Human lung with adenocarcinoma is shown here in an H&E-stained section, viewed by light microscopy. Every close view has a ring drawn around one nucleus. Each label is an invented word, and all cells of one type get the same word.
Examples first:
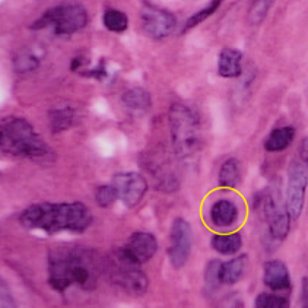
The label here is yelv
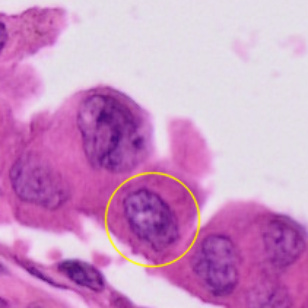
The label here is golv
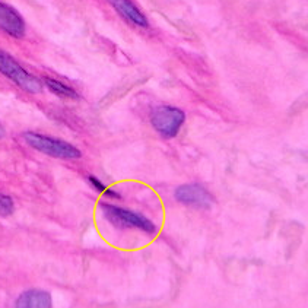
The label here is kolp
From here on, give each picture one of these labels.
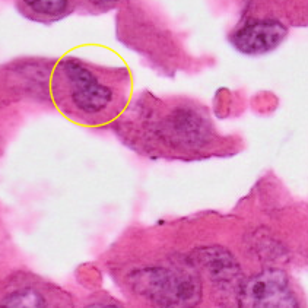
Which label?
golv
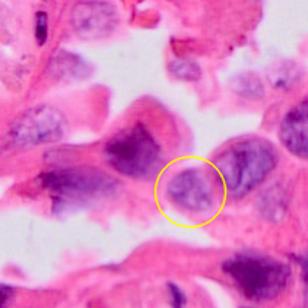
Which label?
golv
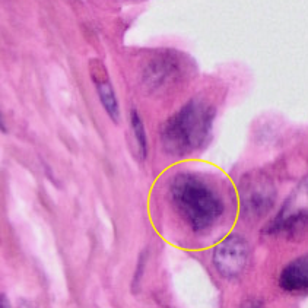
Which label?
golv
